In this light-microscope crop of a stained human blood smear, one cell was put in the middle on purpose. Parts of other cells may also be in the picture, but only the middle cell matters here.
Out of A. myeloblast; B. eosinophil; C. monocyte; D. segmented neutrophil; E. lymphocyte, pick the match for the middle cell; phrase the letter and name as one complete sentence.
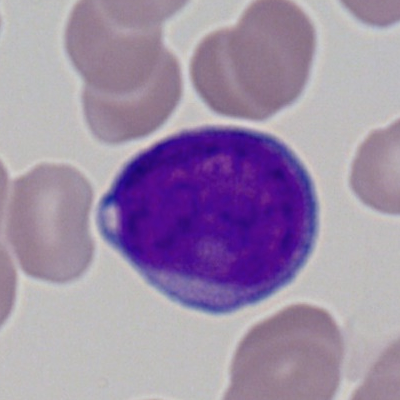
For this crop, option A is right, the centered cell being a myeloblast.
